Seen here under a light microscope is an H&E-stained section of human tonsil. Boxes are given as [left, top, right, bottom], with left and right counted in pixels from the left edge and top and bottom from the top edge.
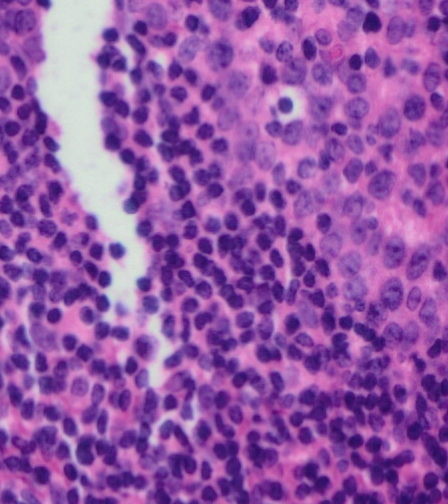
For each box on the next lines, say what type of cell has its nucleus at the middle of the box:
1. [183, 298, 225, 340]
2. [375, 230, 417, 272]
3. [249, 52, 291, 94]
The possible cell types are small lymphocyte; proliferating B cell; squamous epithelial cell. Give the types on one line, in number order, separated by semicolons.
small lymphocyte; proliferating B cell; proliferating B cell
